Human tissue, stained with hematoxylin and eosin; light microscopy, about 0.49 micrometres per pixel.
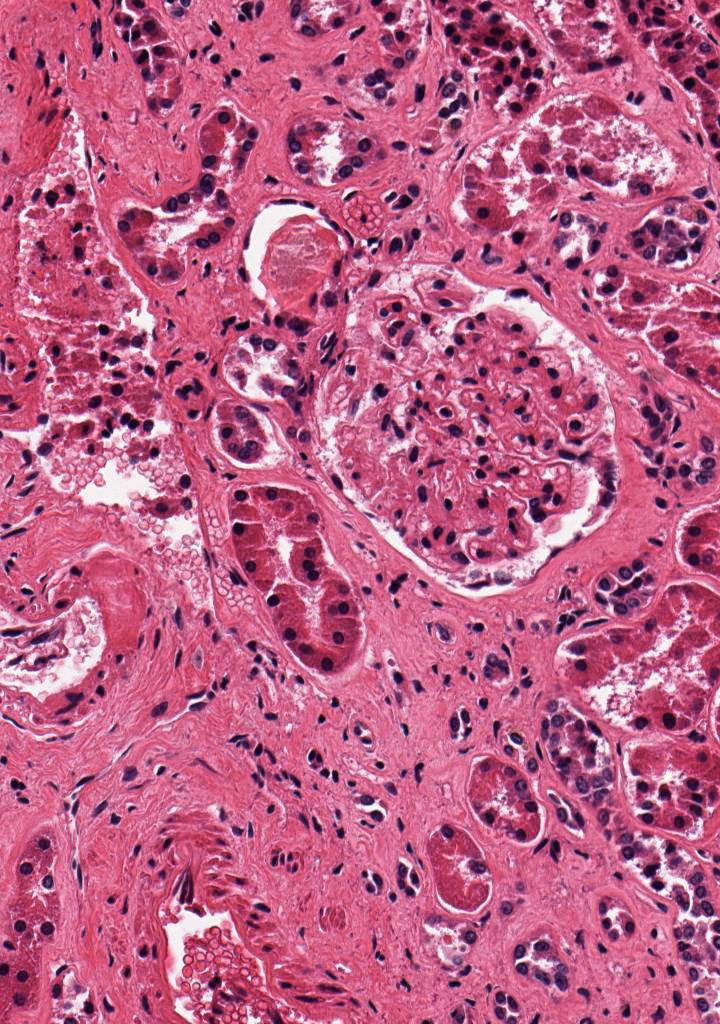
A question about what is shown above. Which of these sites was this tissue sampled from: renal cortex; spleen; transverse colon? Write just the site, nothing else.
renal cortex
